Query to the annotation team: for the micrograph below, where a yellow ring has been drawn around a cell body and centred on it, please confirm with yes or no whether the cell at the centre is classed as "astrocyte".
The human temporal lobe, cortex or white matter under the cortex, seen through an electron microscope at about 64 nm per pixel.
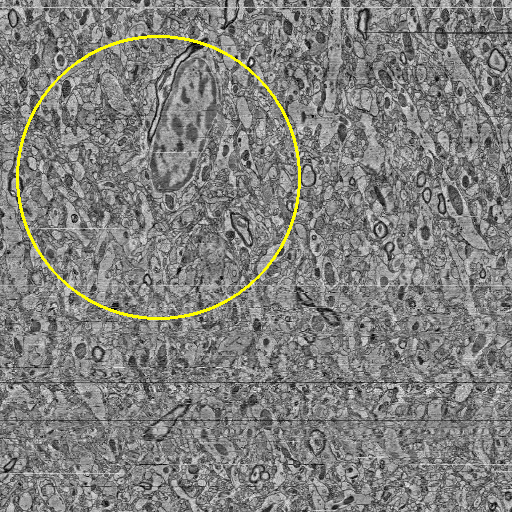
No, it belongs to another class.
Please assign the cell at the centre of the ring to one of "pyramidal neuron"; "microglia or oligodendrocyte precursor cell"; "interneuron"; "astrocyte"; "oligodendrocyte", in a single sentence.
Instead, the cell inside the ring is a microglial cell or oligodendrocyte precursor cell.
